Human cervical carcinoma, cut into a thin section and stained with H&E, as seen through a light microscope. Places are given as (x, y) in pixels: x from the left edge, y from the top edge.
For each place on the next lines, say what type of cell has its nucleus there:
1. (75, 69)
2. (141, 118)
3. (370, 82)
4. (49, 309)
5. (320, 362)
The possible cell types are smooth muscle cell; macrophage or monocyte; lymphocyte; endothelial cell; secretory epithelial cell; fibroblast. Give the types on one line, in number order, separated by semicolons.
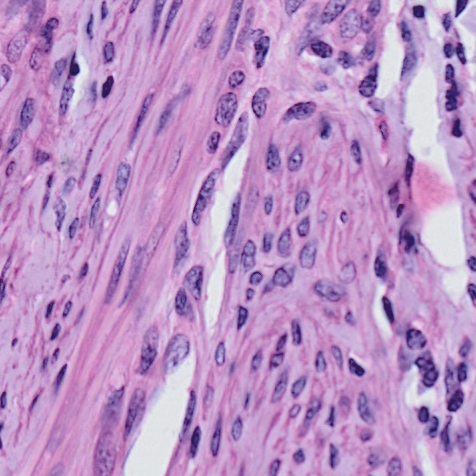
lymphocyte; smooth muscle cell; lymphocyte; smooth muscle cell; smooth muscle cell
